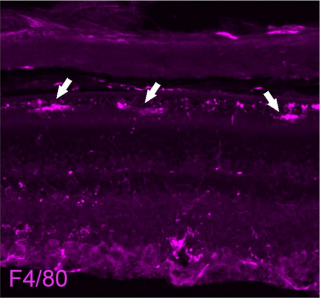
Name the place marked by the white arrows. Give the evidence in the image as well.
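Subretinal space. The arrowed magenta cells lie in a thin horizontal band just beneath the choroid and pigment epithelium layer. They sit above the faint outer retinal layers, outside the neural retina proper.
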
